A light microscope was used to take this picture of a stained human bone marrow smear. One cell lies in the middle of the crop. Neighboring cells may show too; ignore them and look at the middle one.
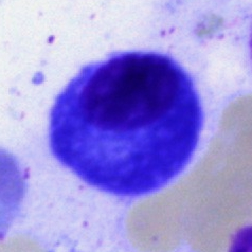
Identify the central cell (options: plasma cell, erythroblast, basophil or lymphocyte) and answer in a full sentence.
The target cell in the middle of the crop is a plasma cell.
